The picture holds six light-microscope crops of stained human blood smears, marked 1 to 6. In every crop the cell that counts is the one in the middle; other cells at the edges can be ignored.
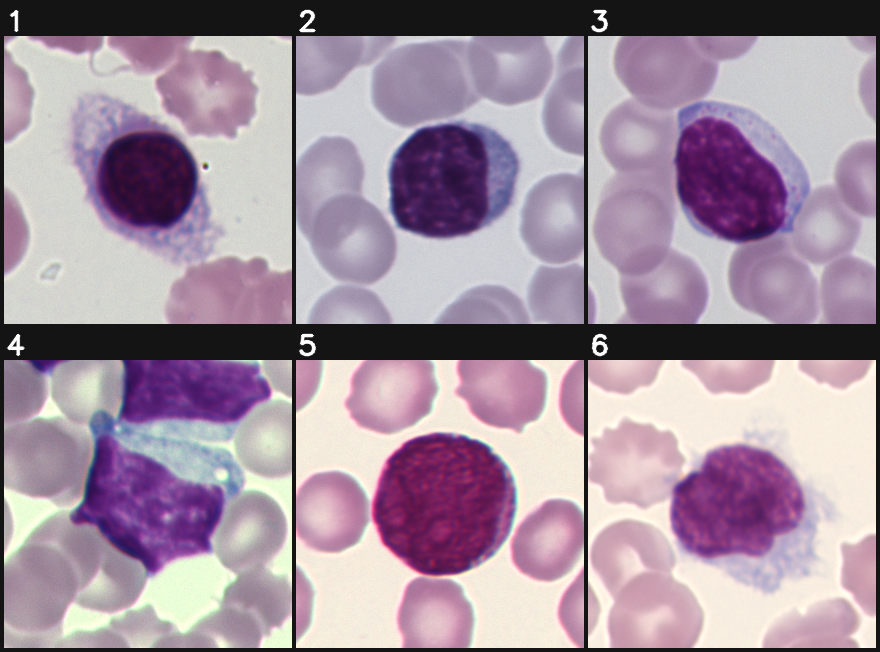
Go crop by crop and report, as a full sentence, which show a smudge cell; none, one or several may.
None of the crops has a smudge cell in the middle.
